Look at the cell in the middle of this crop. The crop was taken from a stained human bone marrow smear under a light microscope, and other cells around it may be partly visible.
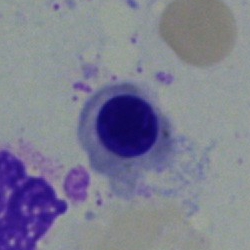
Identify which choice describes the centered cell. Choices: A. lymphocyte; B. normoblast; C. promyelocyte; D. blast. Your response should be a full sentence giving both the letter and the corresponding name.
The correct option here is B; the middle cell is a normoblast.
